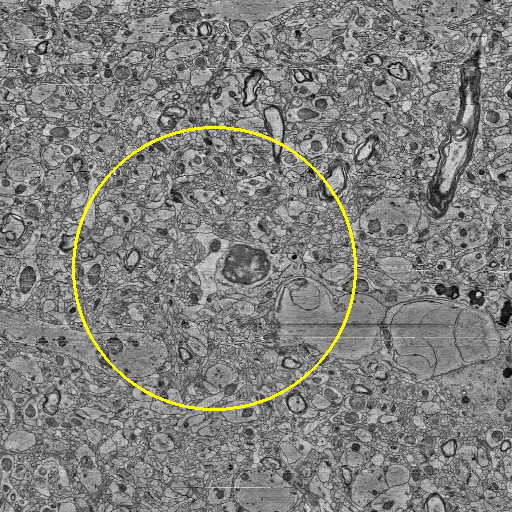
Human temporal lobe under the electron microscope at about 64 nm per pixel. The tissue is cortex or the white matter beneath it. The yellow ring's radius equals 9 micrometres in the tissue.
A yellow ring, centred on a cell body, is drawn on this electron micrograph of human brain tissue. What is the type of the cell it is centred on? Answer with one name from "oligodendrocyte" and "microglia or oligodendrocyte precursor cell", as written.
microglia or oligodendrocyte precursor cell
